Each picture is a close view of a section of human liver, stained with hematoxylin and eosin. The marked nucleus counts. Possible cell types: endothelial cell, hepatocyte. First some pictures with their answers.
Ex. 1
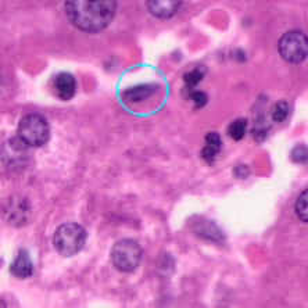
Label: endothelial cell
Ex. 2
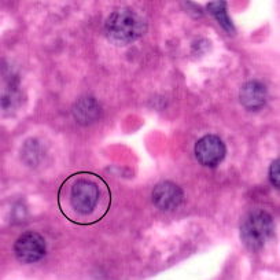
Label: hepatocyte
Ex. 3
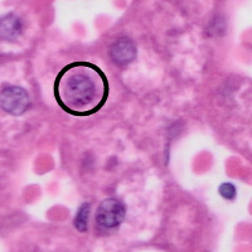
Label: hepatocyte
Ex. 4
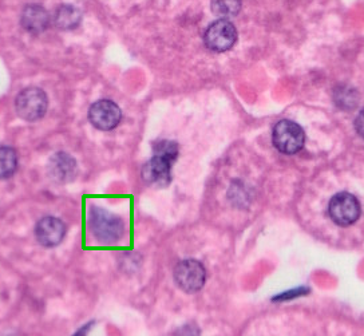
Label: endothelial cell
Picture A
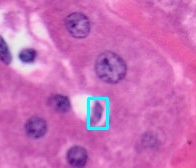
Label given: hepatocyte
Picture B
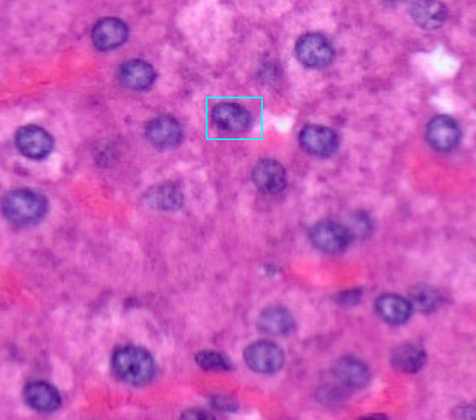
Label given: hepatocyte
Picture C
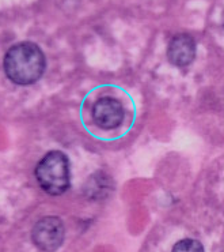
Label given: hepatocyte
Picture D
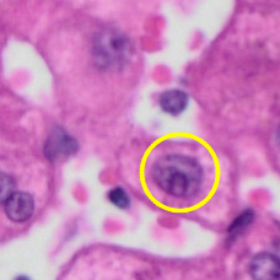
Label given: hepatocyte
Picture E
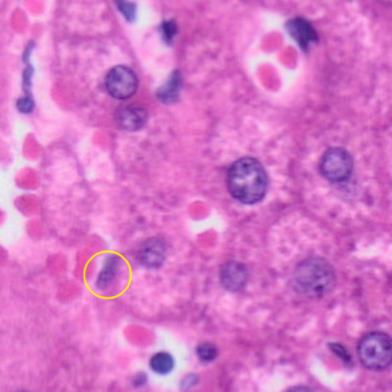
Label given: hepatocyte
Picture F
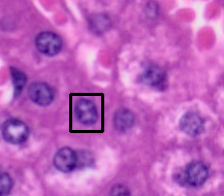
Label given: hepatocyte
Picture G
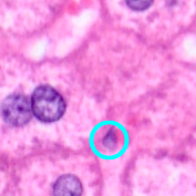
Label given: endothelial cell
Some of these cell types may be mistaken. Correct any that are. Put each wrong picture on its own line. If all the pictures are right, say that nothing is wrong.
A should be endothelial cell, not hepatocyte
E should be endothelial cell, not hepatocyte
